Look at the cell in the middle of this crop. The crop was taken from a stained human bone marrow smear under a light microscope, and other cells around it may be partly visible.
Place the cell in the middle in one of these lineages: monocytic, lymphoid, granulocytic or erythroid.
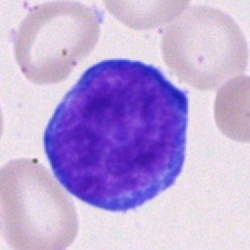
erythroid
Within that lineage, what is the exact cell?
proerythroblast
